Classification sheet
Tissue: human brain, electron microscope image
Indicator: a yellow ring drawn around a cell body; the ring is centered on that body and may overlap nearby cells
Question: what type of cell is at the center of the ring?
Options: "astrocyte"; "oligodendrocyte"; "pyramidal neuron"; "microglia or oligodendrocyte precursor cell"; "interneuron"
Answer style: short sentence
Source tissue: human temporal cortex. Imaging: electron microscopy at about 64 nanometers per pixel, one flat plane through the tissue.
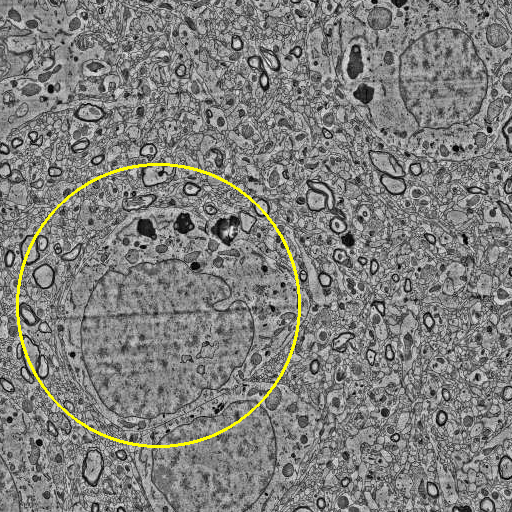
At the ring's center is a pyramidal neuron.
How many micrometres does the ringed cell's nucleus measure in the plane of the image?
In this plane, roughly 11 micrometres across.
